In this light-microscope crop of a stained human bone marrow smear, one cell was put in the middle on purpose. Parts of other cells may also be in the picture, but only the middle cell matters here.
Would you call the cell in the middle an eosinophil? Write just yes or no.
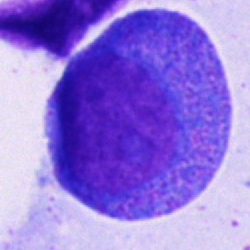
no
